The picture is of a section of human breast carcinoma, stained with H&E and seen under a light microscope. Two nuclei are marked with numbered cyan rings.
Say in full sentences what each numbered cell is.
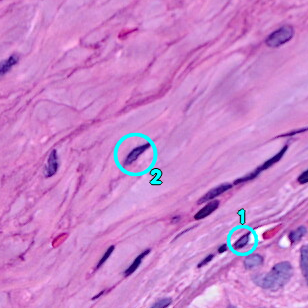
Cell 1 is an endothelial cell. Cell 2 is a fibroblast.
